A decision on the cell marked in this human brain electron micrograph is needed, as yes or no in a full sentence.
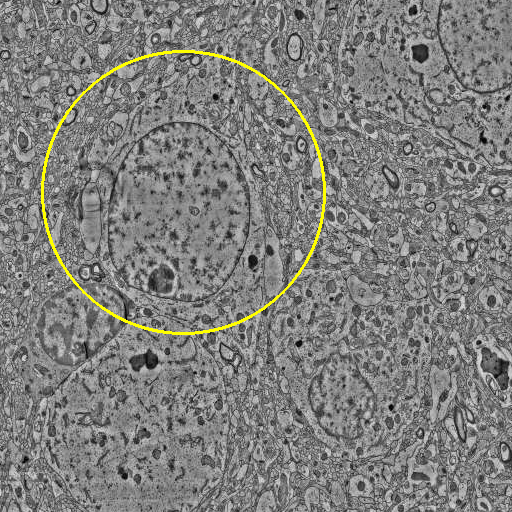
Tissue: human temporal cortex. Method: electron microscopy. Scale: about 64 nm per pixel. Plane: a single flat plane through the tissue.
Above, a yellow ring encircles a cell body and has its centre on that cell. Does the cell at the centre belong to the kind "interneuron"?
No, a different kind fits the cell at the centre of the ring in the picture.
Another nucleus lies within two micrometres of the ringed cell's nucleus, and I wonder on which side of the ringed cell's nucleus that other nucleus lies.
That nucleus lies to the lower left of it.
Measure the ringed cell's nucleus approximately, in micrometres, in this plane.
Roughly 11 by 9 micrometres is the size of the nucleus in this plane.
